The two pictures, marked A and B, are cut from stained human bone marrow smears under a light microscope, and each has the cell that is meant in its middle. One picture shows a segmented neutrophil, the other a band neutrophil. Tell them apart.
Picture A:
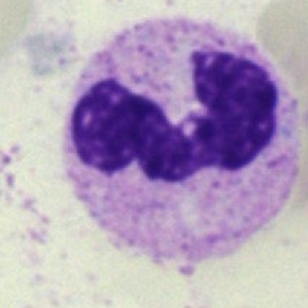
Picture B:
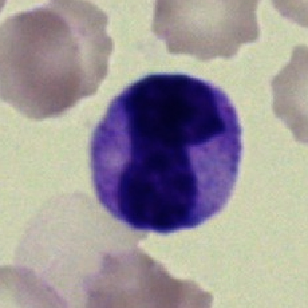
A: segmented neutrophil
B: band neutrophil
